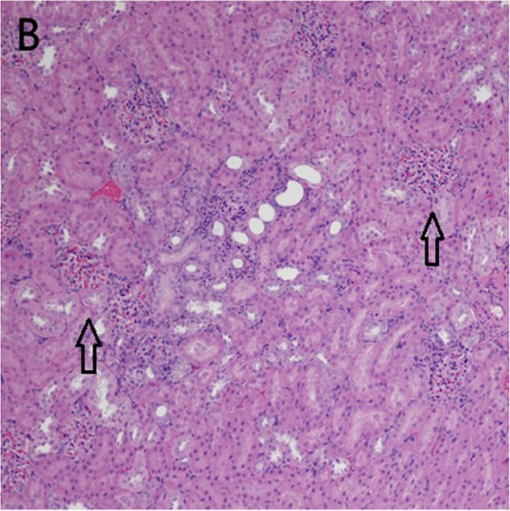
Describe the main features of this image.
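This is renal cortex in which dense clusters of small round dark-purple nuclei crowd the interstitium between the tubules. The tubules are lined by pink epithelial cells with round nuclei, and many have irregular or narrowed lumens. Several round clear empty spaces of varying size lie within the tissue. Glomeruli are present among the tubules, and the cellular clusters lie close to some of them. Compared with normal cortex, the interstitium is widened and much more cellular.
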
